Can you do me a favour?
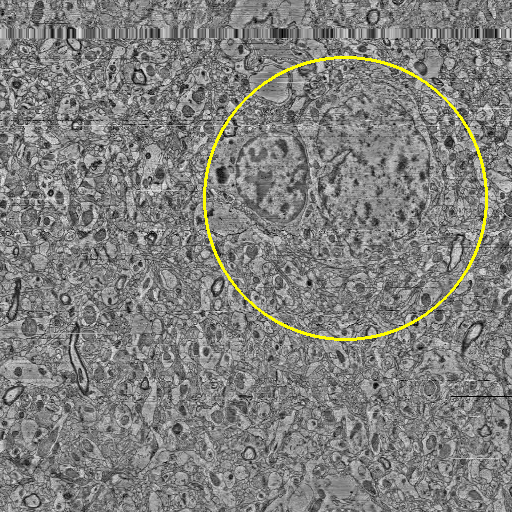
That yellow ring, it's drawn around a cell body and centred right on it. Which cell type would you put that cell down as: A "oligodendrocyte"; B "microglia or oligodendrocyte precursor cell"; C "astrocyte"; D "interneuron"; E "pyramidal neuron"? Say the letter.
D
